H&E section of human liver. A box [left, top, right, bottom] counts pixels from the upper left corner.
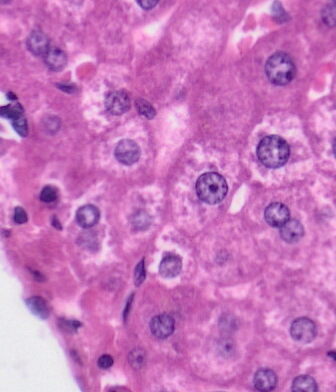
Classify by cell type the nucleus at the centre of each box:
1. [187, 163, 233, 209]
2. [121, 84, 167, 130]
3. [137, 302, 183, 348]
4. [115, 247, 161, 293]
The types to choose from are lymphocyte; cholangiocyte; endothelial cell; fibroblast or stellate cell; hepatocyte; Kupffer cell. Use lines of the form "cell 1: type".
cell 1: hepatocyte
cell 2: fibroblast or stellate cell
cell 3: hepatocyte
cell 4: fibroblast or stellate cell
